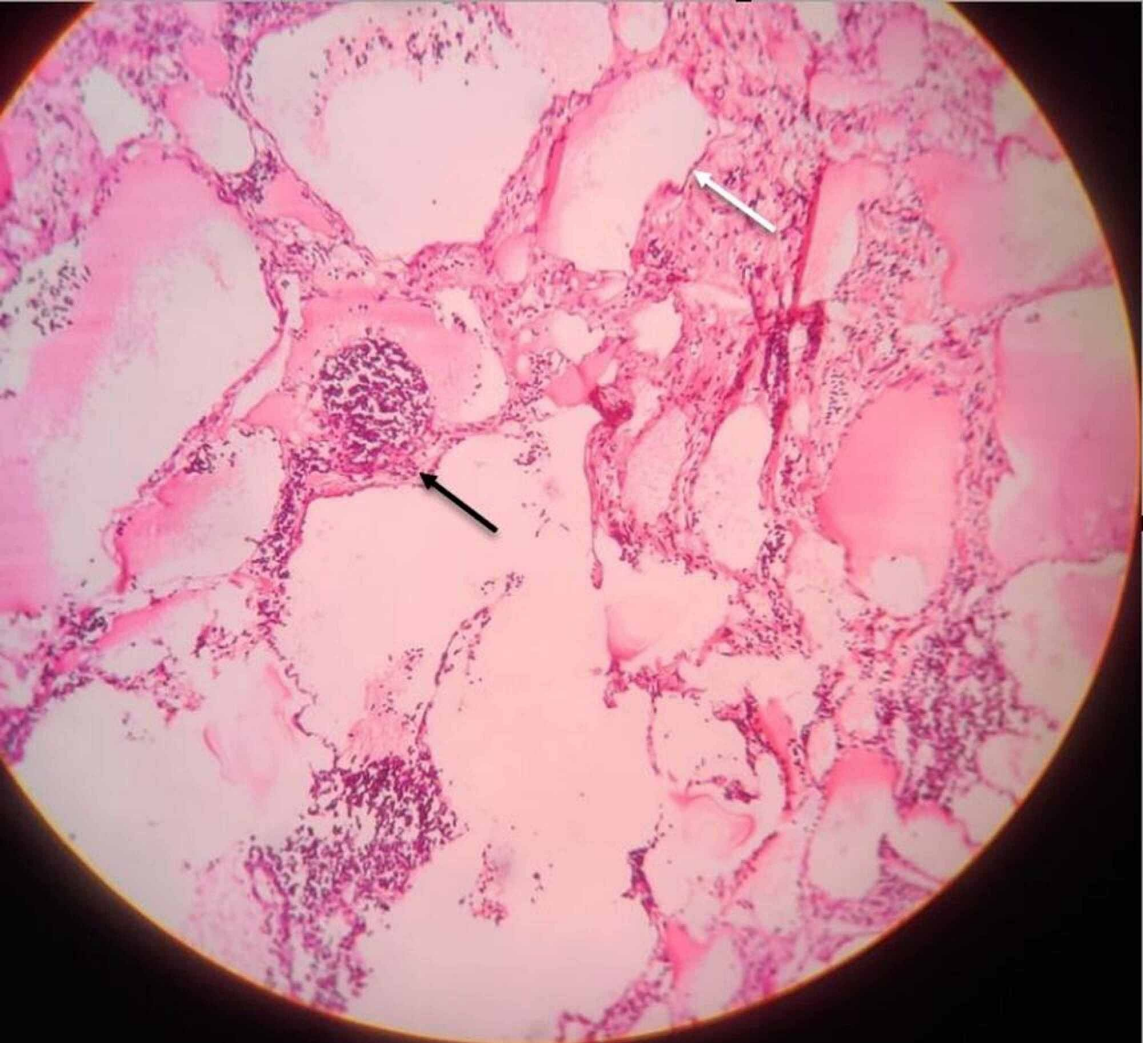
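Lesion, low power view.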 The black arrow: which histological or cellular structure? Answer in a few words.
Lymphoid follicles.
